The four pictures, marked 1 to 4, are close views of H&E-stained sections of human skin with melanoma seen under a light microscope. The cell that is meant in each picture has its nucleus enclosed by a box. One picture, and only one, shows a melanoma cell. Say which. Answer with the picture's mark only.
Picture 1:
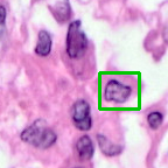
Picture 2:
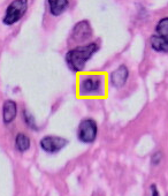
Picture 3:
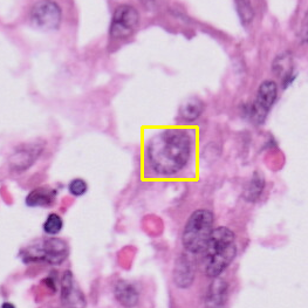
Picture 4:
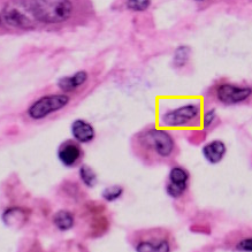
3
